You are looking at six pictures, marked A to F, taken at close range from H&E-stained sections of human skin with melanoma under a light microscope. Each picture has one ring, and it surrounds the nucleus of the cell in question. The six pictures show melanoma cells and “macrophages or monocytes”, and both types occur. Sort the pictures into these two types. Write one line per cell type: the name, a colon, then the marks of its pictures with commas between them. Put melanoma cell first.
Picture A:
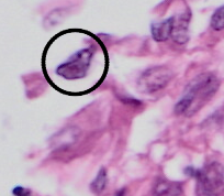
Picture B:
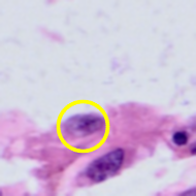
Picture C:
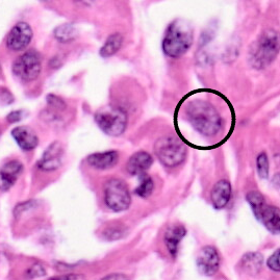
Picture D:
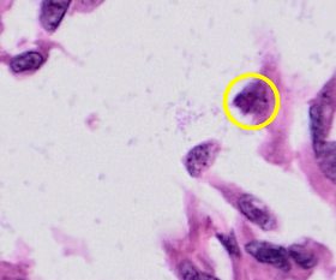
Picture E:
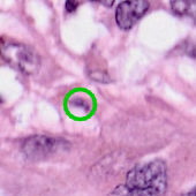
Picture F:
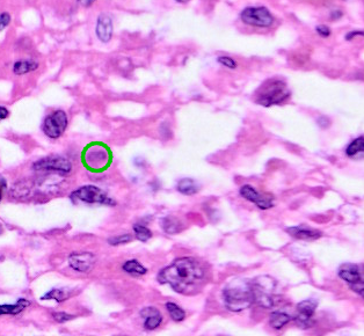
melanoma cell: A, B, C, D
macrophage or monocyte: E, F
